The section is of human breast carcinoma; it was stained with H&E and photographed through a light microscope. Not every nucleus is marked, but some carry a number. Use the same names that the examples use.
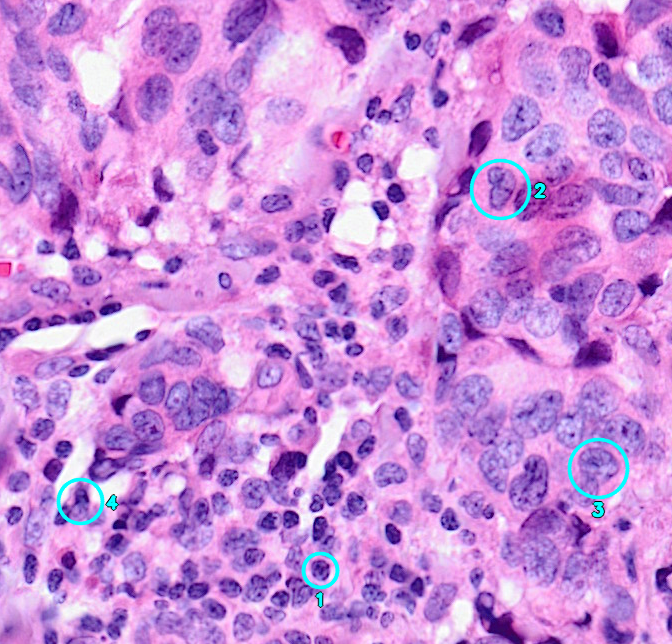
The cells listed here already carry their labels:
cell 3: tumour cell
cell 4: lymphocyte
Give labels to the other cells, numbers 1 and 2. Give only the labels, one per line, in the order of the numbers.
lymphocyte
tumour cell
